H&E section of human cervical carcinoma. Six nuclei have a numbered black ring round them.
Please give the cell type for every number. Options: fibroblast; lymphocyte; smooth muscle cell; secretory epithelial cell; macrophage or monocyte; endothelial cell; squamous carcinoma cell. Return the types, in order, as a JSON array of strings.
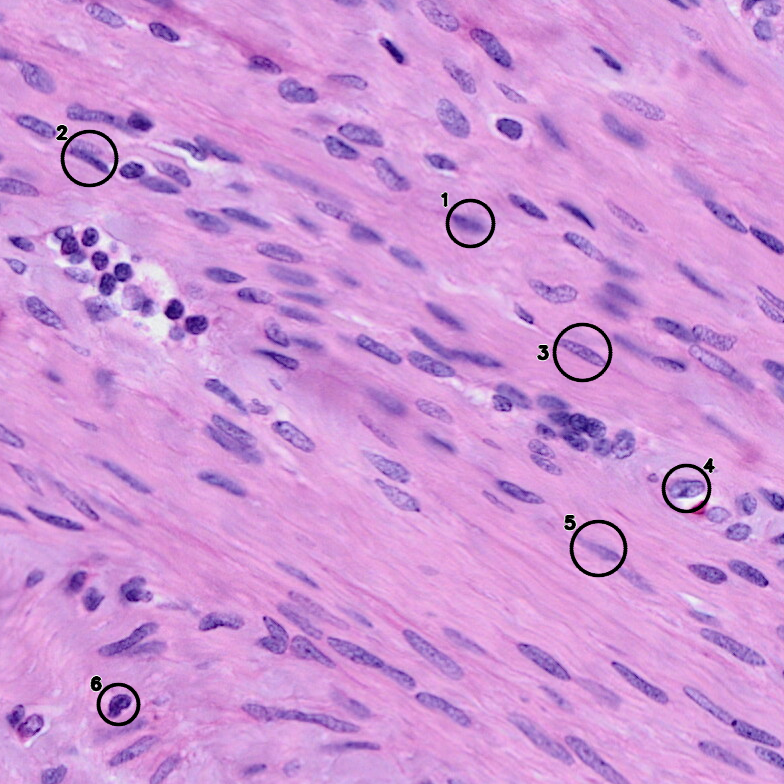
["fibroblast", "fibroblast", "fibroblast", "endothelial cell", "fibroblast", "lymphocyte"]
